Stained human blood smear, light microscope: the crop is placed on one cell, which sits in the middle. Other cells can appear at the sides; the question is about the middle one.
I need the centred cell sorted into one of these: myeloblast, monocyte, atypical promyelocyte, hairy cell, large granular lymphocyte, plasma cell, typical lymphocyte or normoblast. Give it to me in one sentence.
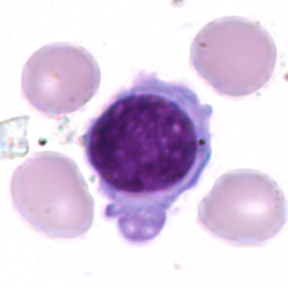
The cell sitting right in the middle is a plasma cell.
